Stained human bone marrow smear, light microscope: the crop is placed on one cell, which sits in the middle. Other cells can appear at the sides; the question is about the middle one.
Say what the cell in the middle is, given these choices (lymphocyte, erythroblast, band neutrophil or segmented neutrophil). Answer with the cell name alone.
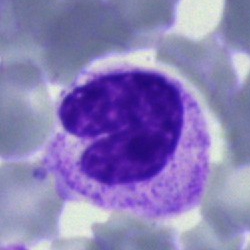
band neutrophil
